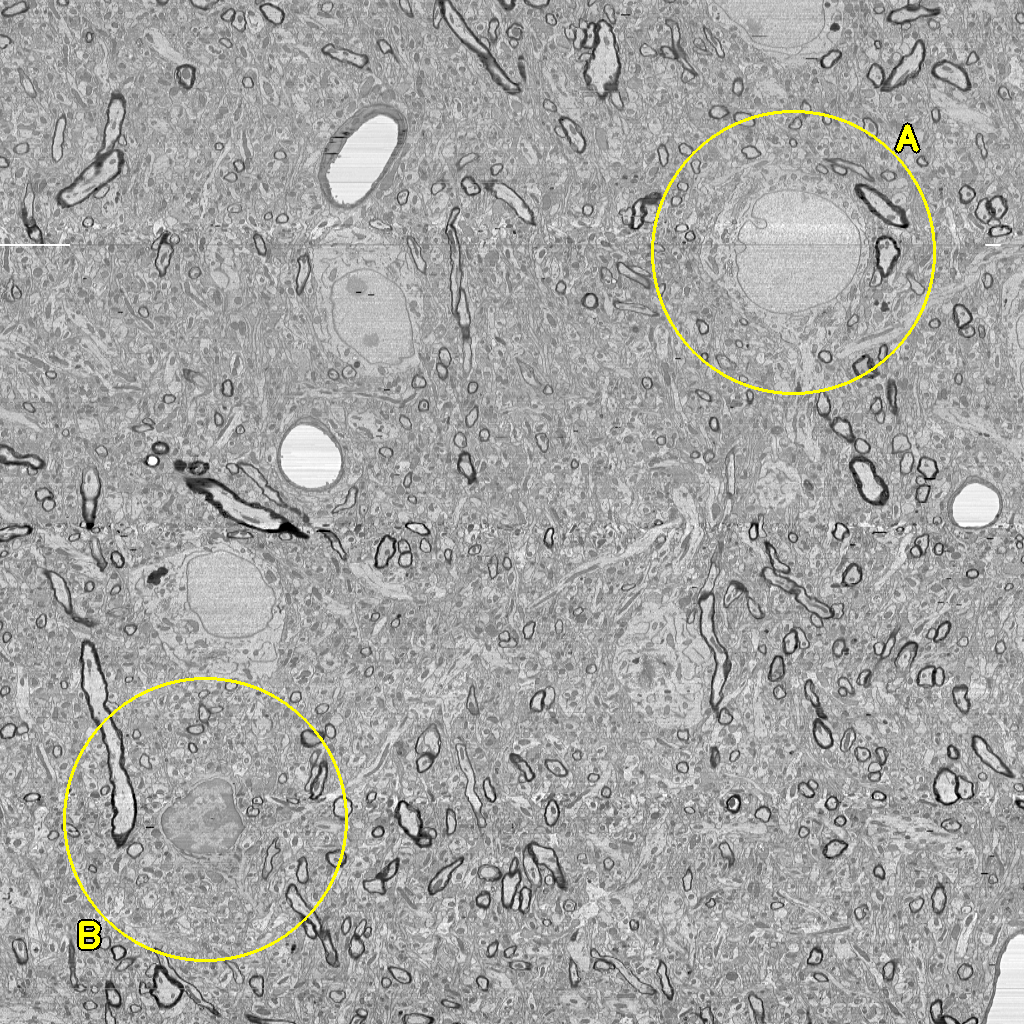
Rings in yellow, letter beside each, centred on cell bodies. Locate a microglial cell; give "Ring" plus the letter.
Ring B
